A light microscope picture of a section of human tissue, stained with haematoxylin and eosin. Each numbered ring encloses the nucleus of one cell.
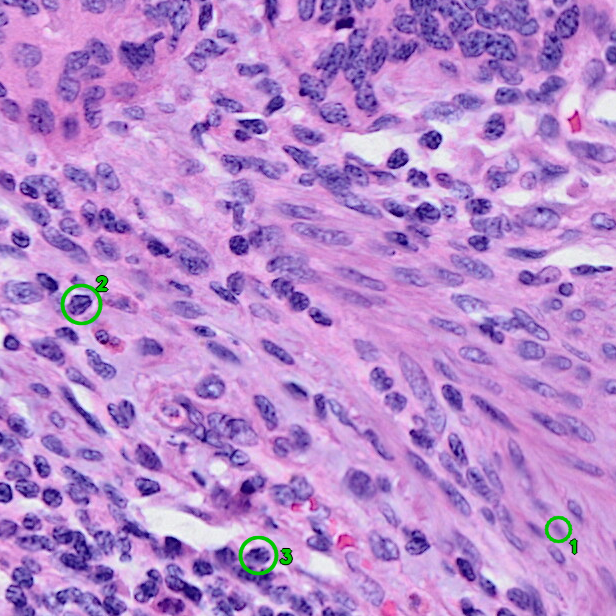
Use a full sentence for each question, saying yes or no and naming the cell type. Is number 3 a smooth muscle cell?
No, for cell 3, the correct identification is a lymphocyte instead of a smooth muscle cell.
